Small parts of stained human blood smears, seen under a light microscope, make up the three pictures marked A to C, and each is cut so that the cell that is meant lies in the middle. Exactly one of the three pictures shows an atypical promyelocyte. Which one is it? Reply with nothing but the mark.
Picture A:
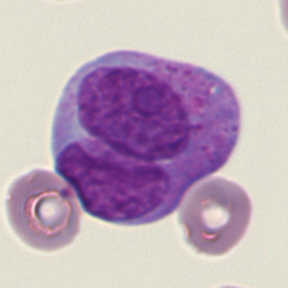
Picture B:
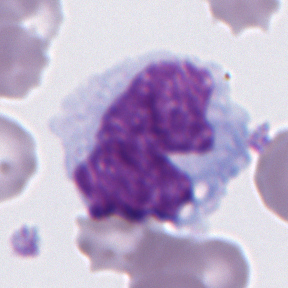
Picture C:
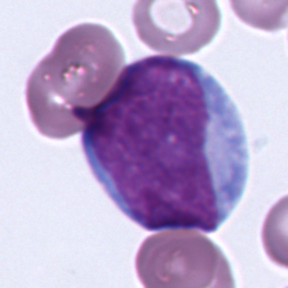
A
